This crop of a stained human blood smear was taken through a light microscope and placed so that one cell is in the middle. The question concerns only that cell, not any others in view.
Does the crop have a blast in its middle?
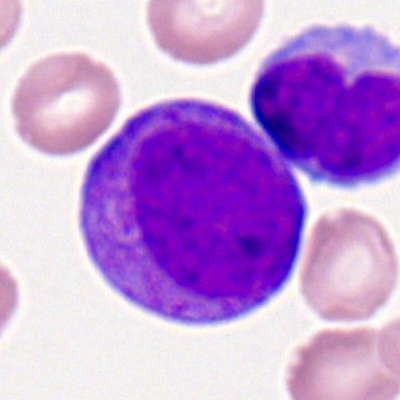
yes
